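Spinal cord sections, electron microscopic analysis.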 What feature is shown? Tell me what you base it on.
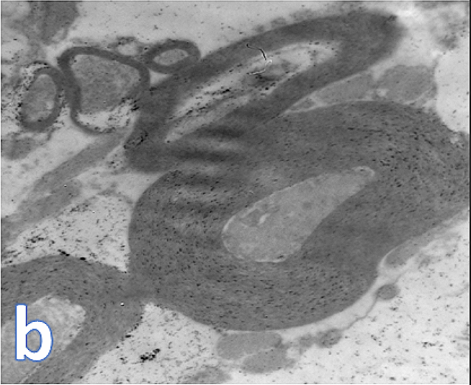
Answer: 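A very thick, dark, compact lamellated band wraps around a pale central axon. The band is far thicker than the smaller rings at the top left.
Condensed myelin sheath.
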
